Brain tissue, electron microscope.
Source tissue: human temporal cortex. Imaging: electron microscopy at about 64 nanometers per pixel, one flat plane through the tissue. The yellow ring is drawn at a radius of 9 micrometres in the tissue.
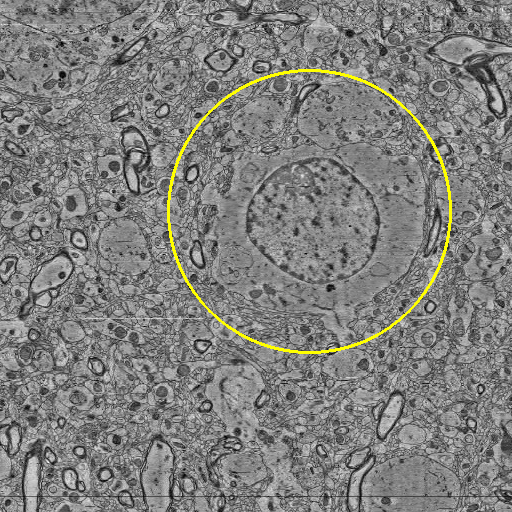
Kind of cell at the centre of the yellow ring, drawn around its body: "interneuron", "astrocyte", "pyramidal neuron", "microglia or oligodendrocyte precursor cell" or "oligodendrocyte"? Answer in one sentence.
The ring's centre falls on an astrocyte.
